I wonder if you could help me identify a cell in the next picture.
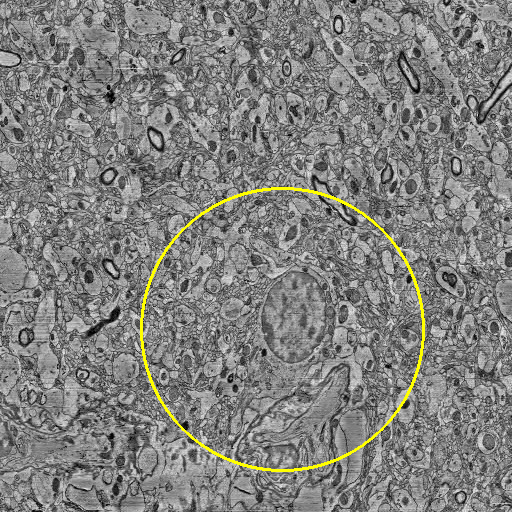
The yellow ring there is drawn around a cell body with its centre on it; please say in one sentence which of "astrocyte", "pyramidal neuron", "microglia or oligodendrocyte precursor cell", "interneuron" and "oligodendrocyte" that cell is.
The yellow ring is centred on an oligodendrocyte.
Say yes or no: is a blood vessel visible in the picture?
Yes, one shows.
